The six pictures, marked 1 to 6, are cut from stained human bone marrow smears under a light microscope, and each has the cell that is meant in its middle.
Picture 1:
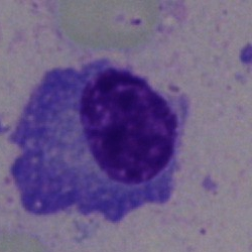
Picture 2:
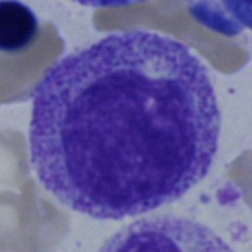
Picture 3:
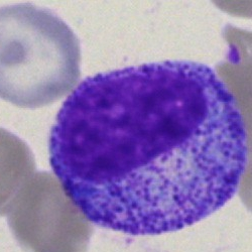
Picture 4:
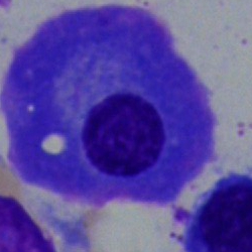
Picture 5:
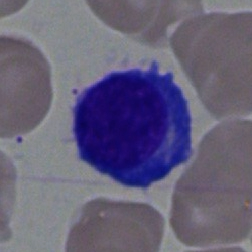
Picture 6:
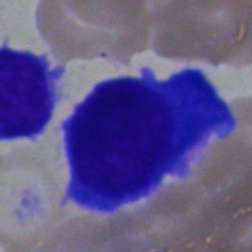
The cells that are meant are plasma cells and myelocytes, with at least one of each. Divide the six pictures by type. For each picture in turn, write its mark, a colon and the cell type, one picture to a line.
1: plasma cell
2: myelocyte
3: myelocyte
4: plasma cell
5: plasma cell
6: plasma cell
